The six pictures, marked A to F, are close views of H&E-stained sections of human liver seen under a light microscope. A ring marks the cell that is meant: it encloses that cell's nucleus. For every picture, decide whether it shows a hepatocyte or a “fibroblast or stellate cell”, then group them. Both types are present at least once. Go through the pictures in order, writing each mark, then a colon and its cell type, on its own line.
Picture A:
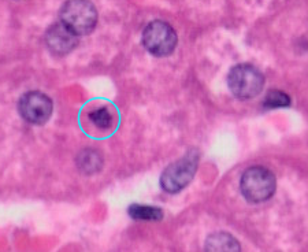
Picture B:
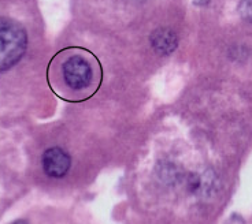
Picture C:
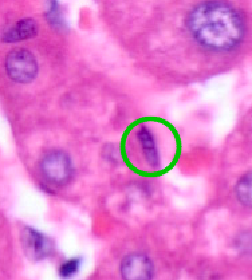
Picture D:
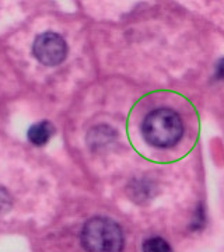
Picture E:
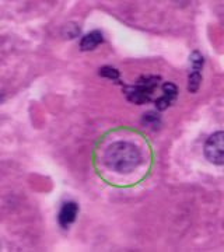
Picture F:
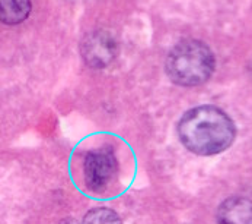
A: fibroblast or stellate cell
B: hepatocyte
C: fibroblast or stellate cell
D: hepatocyte
E: hepatocyte
F: fibroblast or stellate cell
